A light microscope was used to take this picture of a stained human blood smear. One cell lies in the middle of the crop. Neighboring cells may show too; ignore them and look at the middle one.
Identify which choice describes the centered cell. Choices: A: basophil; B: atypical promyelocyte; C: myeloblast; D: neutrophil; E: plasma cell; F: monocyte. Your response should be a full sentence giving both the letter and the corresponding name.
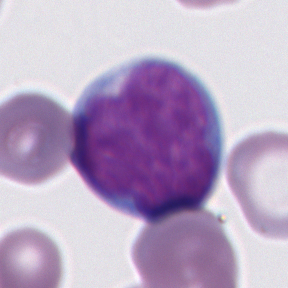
The correct choice is option C, which identifies the middle cell as a myeloblast.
